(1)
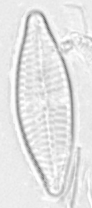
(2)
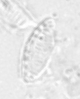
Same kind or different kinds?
Different: the first is Navicula, the second Nitzschia.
